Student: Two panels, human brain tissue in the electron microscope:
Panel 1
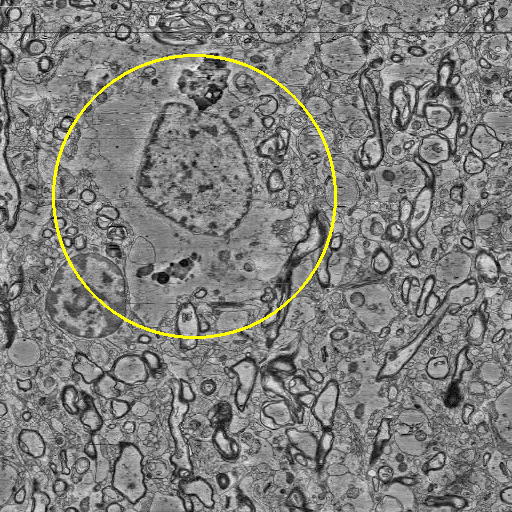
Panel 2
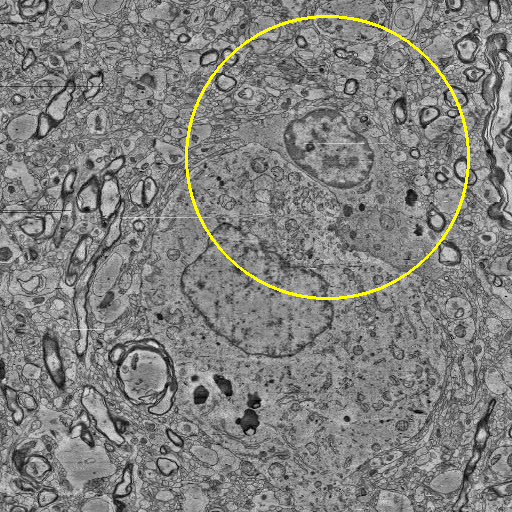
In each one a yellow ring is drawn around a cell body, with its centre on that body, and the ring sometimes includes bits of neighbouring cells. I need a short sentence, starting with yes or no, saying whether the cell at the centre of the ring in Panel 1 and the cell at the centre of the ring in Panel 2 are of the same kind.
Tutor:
No, they are two kinds of cell.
